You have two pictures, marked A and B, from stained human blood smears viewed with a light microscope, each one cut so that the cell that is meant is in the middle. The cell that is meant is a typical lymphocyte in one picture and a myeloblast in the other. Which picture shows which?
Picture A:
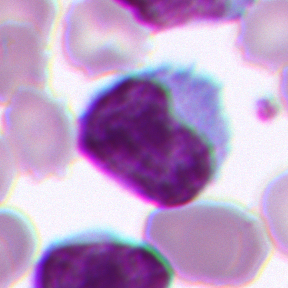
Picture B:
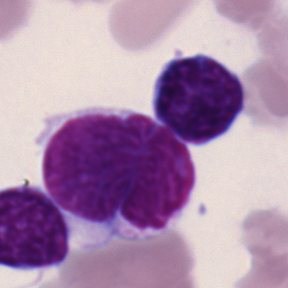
A: typical lymphocyte
B: myeloblast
